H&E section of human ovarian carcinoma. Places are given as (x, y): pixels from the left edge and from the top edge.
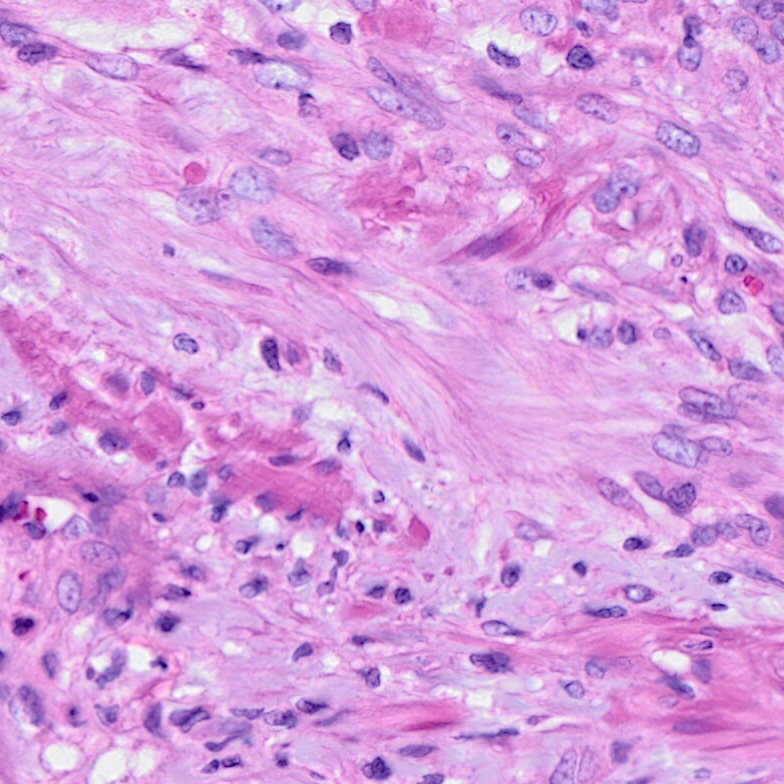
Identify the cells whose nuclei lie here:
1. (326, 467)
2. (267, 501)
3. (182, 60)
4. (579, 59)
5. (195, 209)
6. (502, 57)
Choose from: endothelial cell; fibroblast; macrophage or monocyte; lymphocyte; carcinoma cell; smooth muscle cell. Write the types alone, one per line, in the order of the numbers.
smooth muscle cell
smooth muscle cell
fibroblast
macrophage or monocyte
fibroblast
macrophage or monocyte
